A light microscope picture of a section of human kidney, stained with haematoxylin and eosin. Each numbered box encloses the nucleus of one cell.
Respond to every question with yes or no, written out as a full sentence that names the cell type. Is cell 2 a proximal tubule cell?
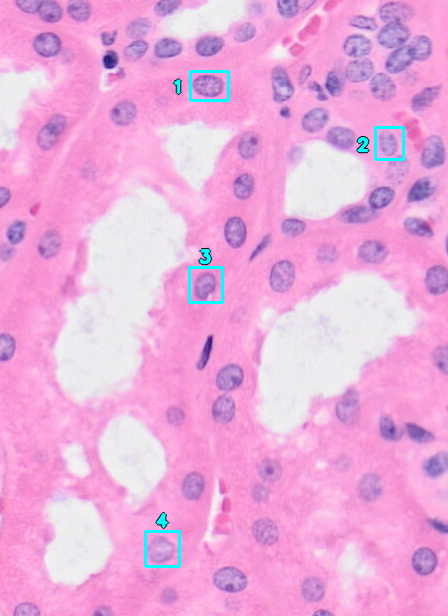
No, cell 2 is identified not as a proximal tubule cell but as a collecting duct cell.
